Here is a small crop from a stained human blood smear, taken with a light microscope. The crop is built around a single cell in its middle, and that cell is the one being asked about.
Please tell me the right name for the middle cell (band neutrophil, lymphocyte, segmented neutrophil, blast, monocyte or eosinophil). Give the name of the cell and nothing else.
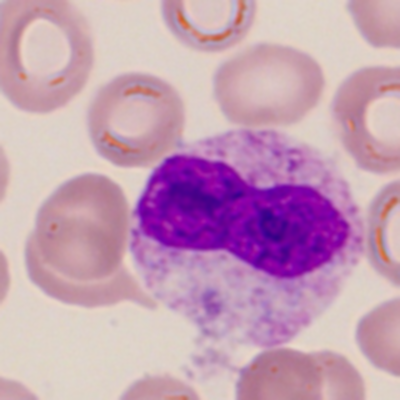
band neutrophil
